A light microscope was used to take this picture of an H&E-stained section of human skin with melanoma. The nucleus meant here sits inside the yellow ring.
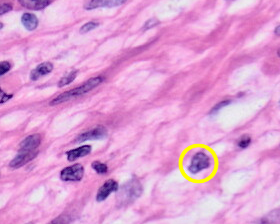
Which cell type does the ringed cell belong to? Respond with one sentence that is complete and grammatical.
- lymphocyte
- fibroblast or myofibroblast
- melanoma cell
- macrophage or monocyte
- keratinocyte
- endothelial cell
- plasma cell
By cell type, the ringed cell is a lymphocyte.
